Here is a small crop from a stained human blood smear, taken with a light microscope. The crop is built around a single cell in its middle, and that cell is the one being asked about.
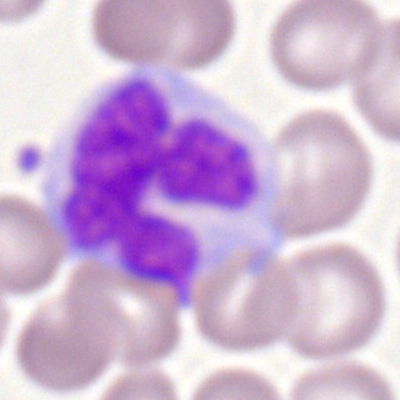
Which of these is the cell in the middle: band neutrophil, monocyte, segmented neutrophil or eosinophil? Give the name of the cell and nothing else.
monocyte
